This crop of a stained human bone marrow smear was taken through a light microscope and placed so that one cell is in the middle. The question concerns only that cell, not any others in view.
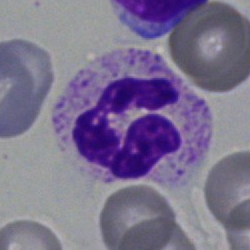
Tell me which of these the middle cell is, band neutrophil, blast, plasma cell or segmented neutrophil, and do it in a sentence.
The cell at the heart of this crop is a segmented neutrophil.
